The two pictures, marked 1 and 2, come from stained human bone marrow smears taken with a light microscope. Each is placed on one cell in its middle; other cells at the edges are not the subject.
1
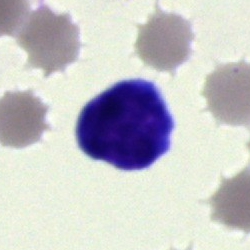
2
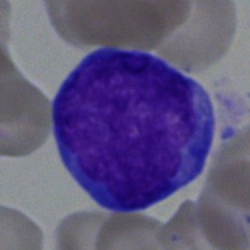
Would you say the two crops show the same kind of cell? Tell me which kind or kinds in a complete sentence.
No, crop 1 is to be identified as a lymphocyte and crop 2 as a blast.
